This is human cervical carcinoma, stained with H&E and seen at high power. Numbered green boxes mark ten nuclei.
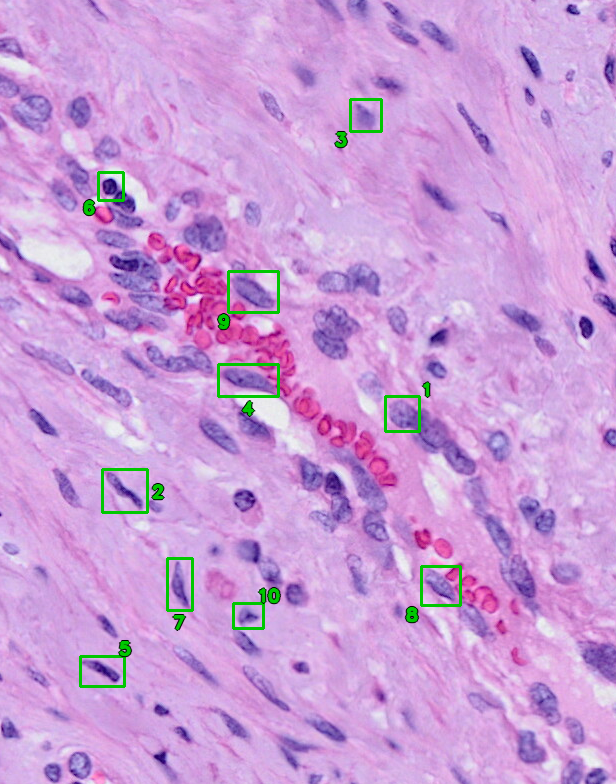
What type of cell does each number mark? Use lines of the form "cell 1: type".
cell 1: endothelial cell
cell 2: fibroblast
cell 3: fibroblast
cell 4: endothelial cell
cell 5: fibroblast
cell 6: lymphocyte
cell 7: fibroblast
cell 8: endothelial cell
cell 9: endothelial cell
cell 10: fibroblast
